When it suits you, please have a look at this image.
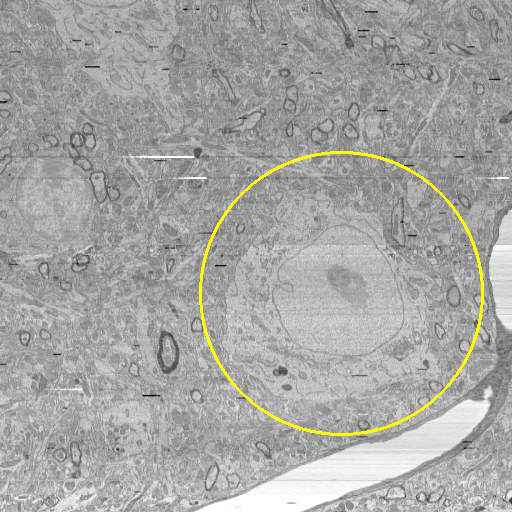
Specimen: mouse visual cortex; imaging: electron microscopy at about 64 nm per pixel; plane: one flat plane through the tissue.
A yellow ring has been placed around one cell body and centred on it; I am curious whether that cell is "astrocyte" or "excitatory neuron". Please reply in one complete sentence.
The ringed cell, an excitatory neuron, has its body at the centre of the yellow ring.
